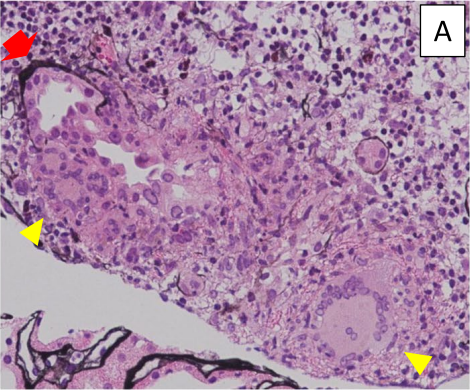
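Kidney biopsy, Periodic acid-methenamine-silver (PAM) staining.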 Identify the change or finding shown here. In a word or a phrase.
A: interstitial mononuclear inflammatory cells infiltration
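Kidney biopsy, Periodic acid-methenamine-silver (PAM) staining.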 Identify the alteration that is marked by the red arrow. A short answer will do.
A: Destructive tubulitis.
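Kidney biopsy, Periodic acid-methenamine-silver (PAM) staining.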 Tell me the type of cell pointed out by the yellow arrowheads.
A: multinuclear giant cells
